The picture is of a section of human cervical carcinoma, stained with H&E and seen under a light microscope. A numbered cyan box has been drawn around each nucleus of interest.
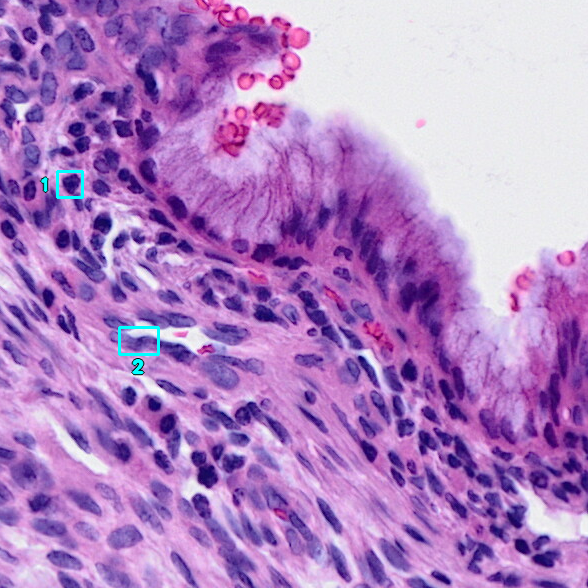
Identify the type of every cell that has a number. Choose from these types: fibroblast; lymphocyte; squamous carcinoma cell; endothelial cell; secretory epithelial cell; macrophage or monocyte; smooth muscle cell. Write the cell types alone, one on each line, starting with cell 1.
lymphocyte
endothelial cell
